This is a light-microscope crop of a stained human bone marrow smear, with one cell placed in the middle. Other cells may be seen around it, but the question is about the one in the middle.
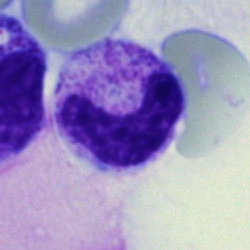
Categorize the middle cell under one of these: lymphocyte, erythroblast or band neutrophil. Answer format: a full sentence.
Within this crop, a band neutrophil occupies the central position.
